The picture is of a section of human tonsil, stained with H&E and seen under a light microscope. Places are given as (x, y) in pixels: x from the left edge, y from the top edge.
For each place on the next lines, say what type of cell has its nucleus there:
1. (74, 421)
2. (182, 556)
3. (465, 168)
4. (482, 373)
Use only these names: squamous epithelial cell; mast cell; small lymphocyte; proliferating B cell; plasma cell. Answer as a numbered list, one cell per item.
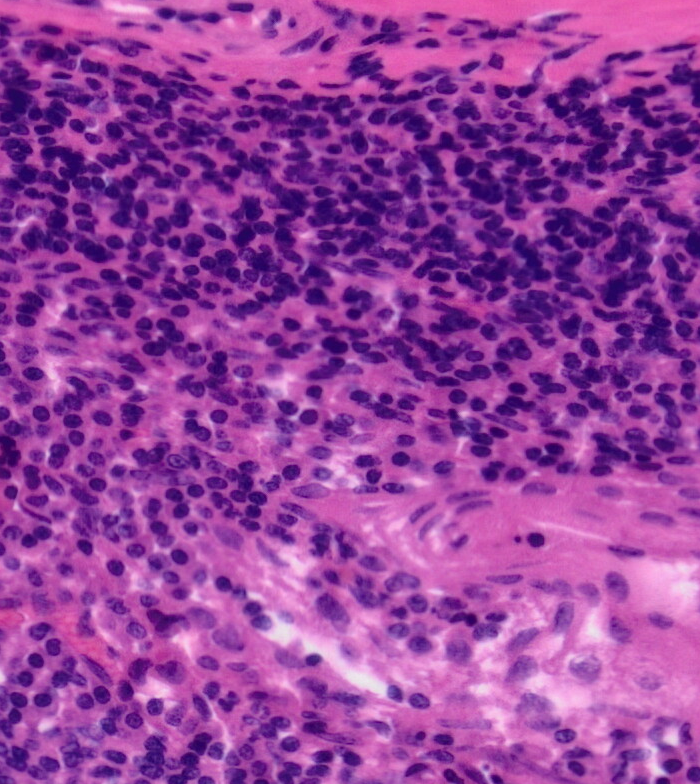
1. plasma cell
2. plasma cell
3. small lymphocyte
4. plasma cell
